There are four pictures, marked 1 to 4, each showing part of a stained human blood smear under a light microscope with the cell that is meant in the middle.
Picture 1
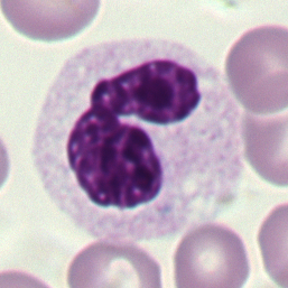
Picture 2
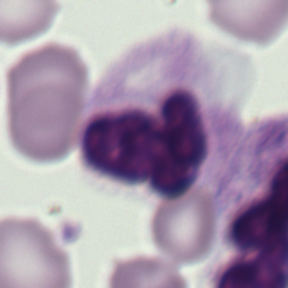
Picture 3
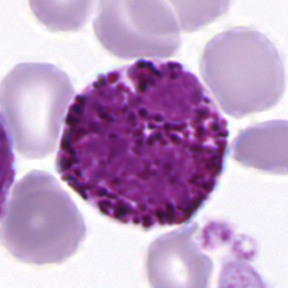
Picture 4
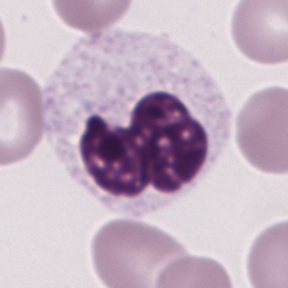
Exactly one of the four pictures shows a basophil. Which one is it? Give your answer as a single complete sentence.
Picture 3 is the one that shows the basophil.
